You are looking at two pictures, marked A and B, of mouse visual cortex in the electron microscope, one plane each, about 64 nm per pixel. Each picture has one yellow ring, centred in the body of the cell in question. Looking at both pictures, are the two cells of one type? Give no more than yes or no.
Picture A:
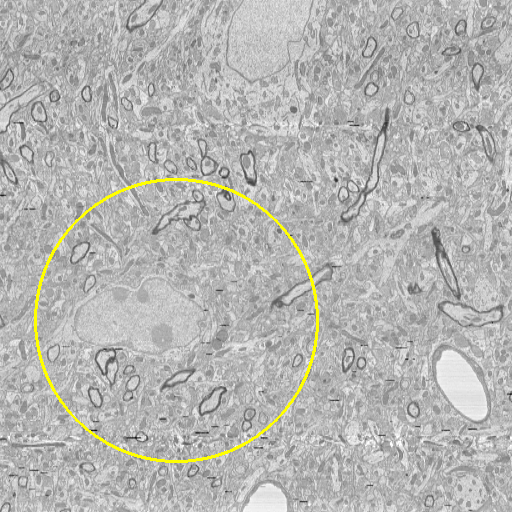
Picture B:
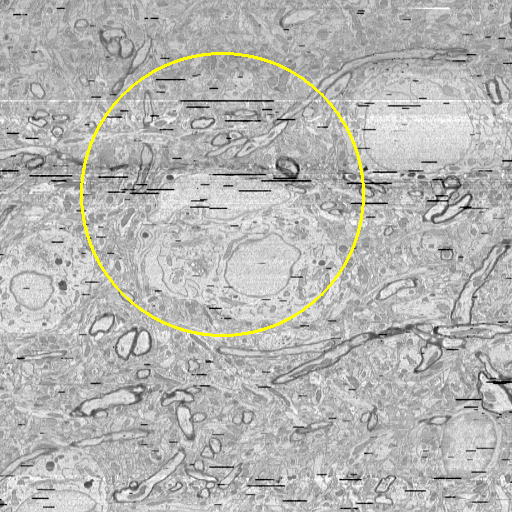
yes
